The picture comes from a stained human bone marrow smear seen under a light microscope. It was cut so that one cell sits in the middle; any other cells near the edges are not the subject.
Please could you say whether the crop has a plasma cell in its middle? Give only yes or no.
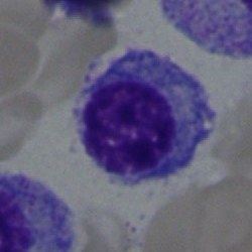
yes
